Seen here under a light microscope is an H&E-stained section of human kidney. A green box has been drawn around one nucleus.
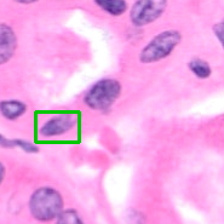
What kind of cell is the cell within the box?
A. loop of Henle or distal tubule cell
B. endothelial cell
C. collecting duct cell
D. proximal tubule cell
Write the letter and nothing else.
C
